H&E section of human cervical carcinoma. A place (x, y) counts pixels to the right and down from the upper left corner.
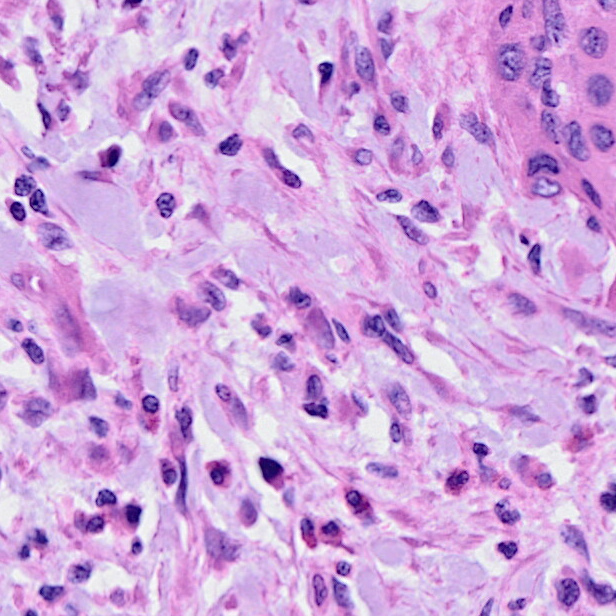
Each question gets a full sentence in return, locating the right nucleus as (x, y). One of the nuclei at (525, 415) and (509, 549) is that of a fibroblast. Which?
Of these two nuclei, only the one at (525, 415) belongs to a fibroblast.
